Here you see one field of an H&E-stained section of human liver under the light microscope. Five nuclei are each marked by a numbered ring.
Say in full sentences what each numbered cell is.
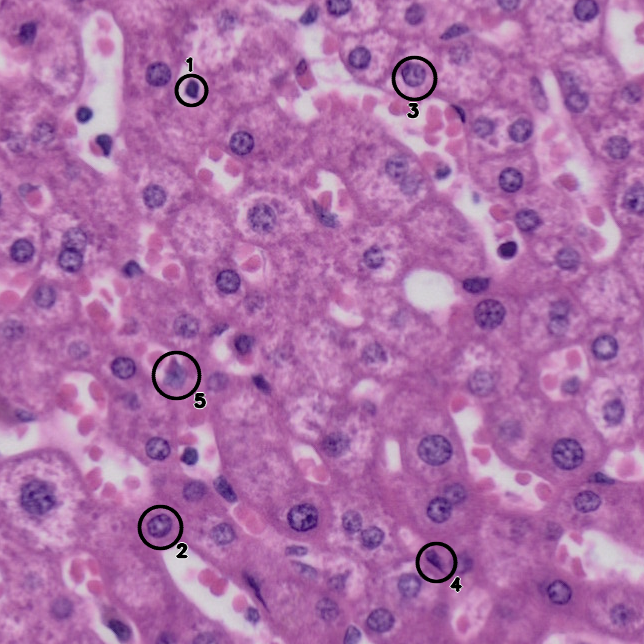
Cell 1 is a lymphocyte, cell 2 is a hepatocyte, cell 3 is a hepatocyte, cell 4 is a fibroblast or stellate cell and cell 5 is an endothelial cell.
